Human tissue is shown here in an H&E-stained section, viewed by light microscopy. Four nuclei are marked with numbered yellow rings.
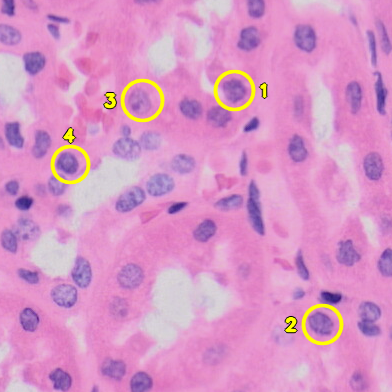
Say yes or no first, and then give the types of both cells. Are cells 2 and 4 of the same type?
No, cell 2 is a proximal tubule cell and cell 4, for its part, is a collecting duct cell.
